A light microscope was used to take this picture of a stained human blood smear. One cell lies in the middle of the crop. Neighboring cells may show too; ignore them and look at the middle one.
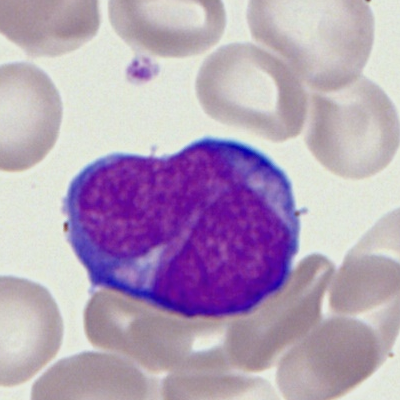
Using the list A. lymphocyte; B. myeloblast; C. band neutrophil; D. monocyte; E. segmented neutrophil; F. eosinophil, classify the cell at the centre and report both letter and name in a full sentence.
The cell centred in the crop is a myeloblast, and the correct option is thus B.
